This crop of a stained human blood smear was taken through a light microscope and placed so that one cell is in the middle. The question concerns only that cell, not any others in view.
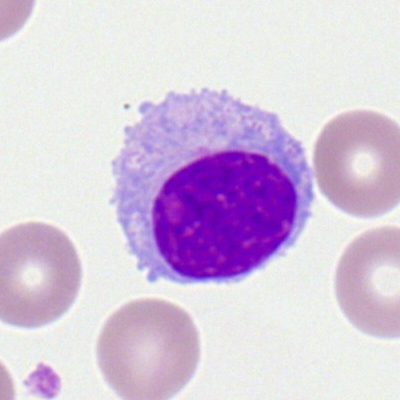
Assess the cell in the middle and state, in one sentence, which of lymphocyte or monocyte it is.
The cell marked by its central position in the crop is a lymphocyte.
